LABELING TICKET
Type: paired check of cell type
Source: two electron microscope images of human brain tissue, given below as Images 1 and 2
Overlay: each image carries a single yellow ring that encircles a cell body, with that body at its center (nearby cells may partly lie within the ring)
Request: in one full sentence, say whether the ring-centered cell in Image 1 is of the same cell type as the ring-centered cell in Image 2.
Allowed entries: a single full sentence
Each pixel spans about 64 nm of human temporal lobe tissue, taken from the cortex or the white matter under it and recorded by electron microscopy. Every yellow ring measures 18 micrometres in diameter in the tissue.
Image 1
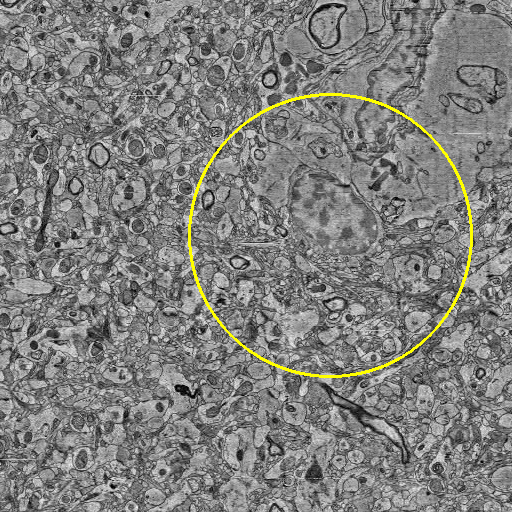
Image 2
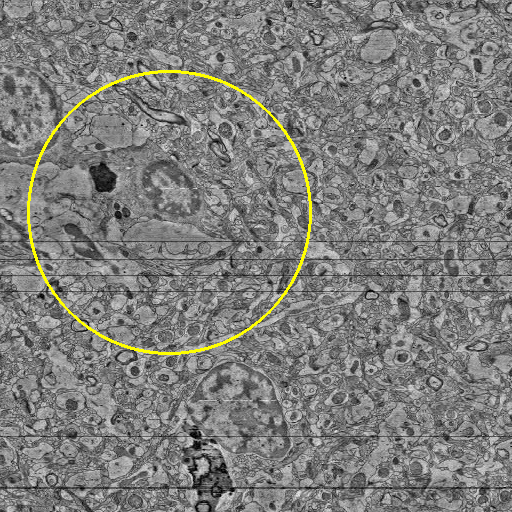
Yes, the cells centered in the rings of Image 1 and Image 2 share one type.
